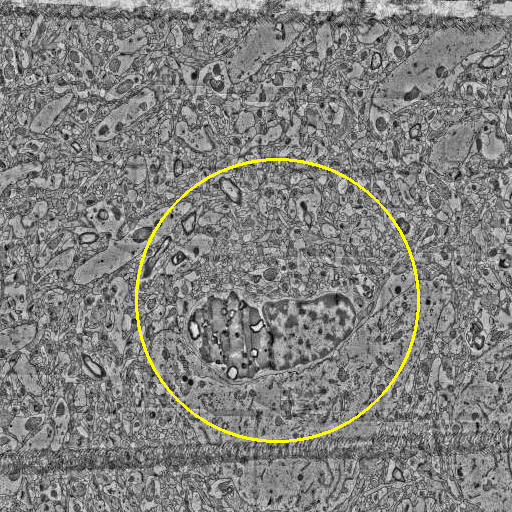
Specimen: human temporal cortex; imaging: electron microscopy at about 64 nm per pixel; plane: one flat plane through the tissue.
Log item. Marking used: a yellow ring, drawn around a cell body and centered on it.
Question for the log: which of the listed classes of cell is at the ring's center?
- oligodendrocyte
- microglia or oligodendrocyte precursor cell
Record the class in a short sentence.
At the center of the ring lies a microglial cell or oligodendrocyte precursor cell.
